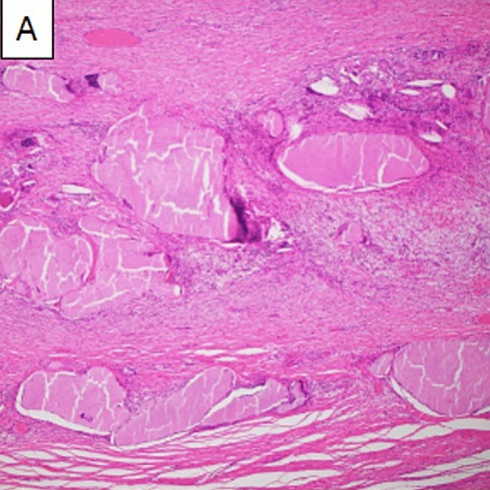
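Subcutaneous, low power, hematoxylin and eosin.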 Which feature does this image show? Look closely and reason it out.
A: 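Islands of homogeneous pink material lie within fibrous tissue. The pink islands are acellular and crossed by cracks. That points to this answer: eosinophilic amyloid material.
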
